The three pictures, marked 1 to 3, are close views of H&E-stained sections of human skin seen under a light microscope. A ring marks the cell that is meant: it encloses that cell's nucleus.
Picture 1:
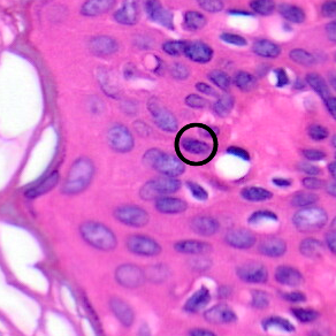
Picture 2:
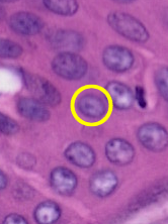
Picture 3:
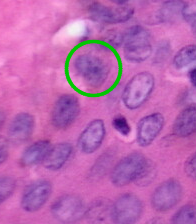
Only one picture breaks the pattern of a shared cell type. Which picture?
2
